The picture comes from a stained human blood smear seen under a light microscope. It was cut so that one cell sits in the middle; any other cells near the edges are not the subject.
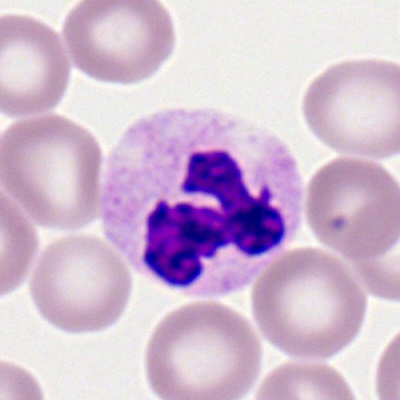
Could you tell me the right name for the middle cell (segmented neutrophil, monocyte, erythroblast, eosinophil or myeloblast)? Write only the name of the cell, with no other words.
segmented neutrophil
